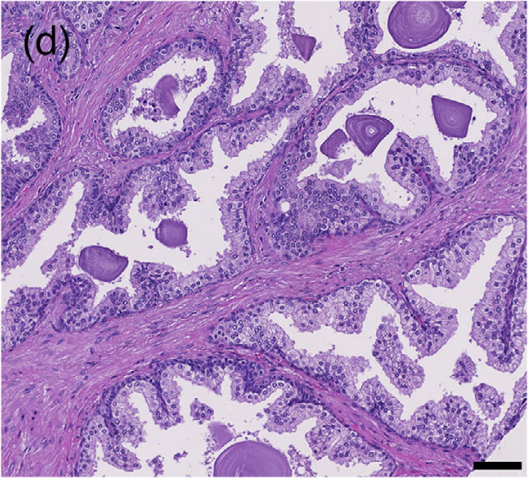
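This is prostatic glandular tissue with acini lined by pale columnar secretory cells that form infoldings into wide lumens. Beneath them, along the gland edge, lies a layer of smaller basal cells with darker nuclei, separating the secretory cells from the surrounding stroma. The stroma between glands is a band of pink spindle-celled fibromuscular tissue. Inside the lumens lie several dense, round to angular pink-purple bodies, some with concentric lamellar rings, which are corpora amylacea.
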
